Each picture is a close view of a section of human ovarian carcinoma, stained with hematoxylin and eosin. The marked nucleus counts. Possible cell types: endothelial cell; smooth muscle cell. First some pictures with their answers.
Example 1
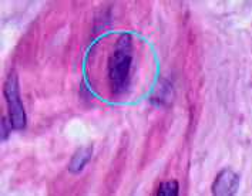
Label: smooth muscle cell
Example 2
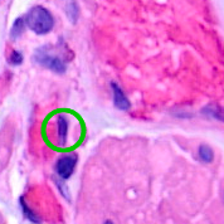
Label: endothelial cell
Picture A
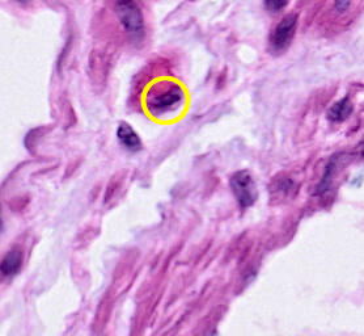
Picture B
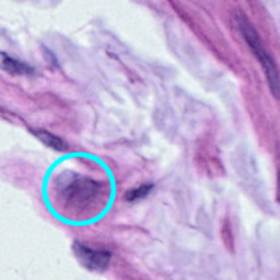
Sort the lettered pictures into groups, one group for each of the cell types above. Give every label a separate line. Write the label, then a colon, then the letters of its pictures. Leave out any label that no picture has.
endothelial cell: A, B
